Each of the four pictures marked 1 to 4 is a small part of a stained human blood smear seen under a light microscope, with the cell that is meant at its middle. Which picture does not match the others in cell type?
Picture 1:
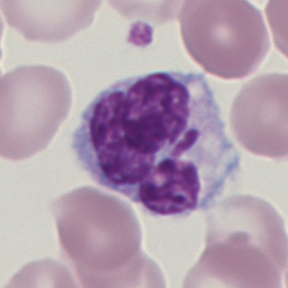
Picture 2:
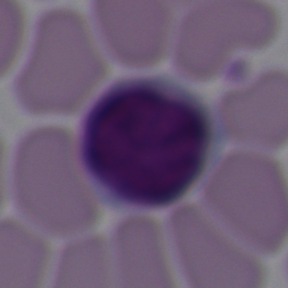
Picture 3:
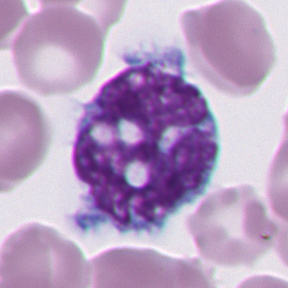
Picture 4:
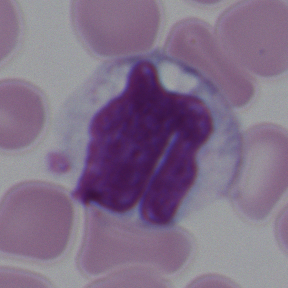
2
